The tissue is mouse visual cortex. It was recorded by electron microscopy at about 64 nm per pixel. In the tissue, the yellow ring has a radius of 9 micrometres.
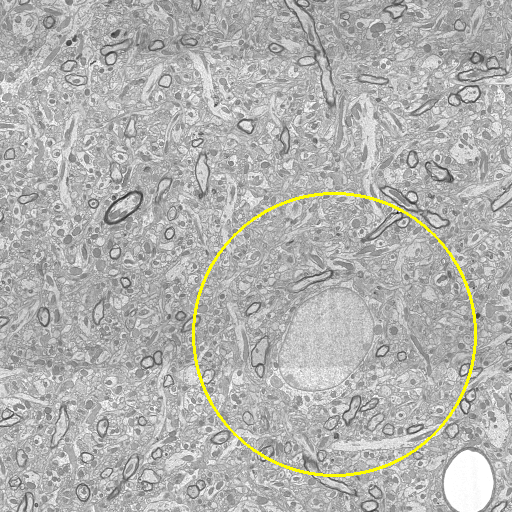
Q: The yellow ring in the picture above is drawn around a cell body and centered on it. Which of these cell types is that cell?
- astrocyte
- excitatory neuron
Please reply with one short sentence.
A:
The cell body at the ring's center belongs to an astrocyte.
